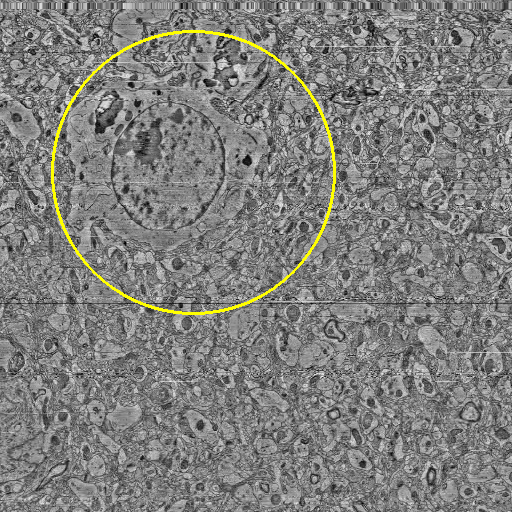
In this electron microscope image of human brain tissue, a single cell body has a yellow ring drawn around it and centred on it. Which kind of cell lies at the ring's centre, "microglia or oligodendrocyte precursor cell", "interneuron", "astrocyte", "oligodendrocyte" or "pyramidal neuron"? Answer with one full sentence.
It is an astrocyte whose cell body lies at the centre of the yellow ring here.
